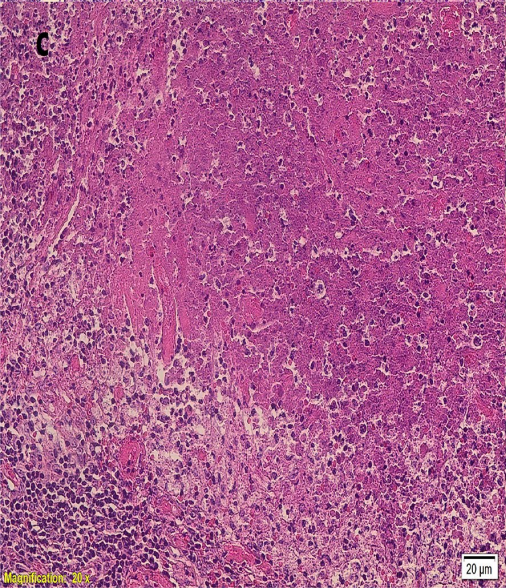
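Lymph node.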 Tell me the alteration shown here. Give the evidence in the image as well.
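A pink granular area fills most of the field. Many small dark fragmented nuclear particles are scattered through the pink area. Intact small dark round nuclei of lymphocytes are crowded at the lower left edge.
Conclusion: karyorrhectic debris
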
